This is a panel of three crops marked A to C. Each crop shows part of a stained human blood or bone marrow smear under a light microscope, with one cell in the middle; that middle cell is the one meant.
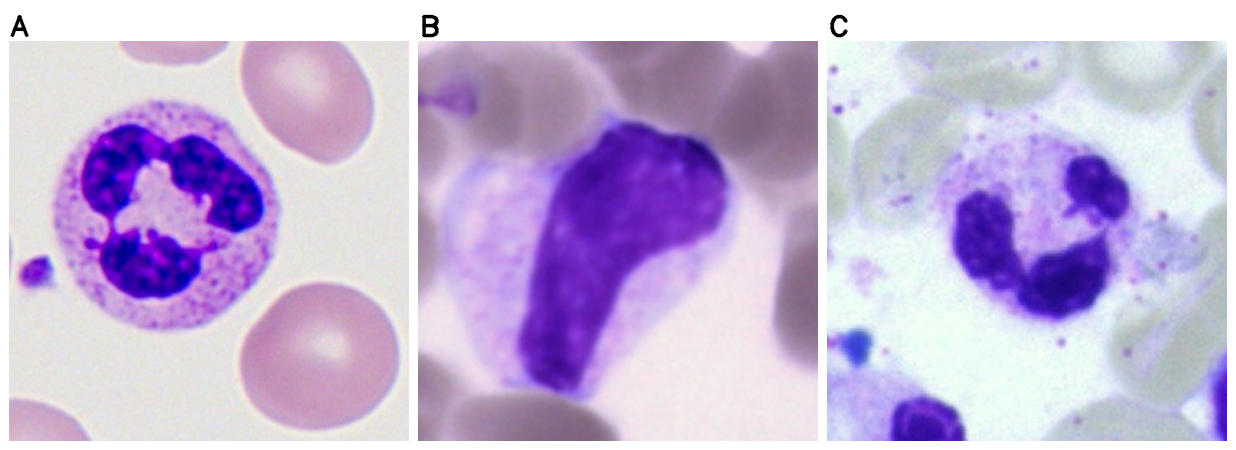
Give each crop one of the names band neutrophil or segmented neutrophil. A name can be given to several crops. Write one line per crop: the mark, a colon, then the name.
A: segmented neutrophil
B: band neutrophil
C: segmented neutrophil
